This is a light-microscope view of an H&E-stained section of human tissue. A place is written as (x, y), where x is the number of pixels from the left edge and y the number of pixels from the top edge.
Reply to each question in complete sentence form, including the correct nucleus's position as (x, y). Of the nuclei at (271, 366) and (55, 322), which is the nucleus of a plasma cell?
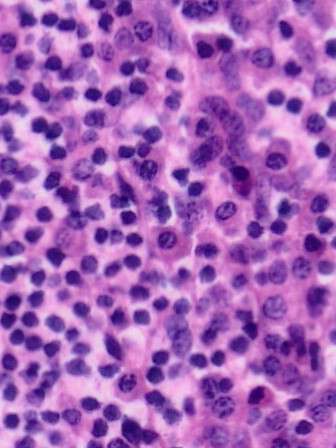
Belonging to a plasma cell is the nucleus at (271, 366).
